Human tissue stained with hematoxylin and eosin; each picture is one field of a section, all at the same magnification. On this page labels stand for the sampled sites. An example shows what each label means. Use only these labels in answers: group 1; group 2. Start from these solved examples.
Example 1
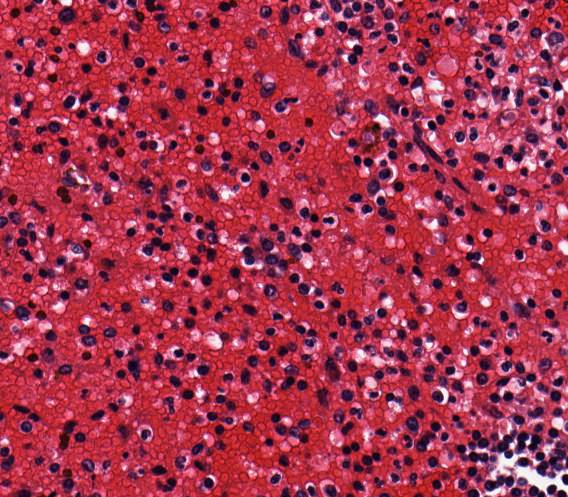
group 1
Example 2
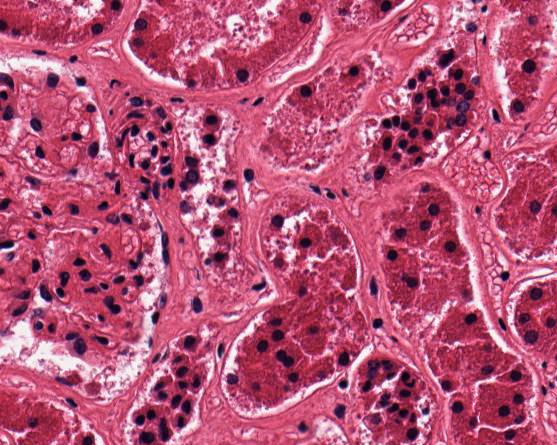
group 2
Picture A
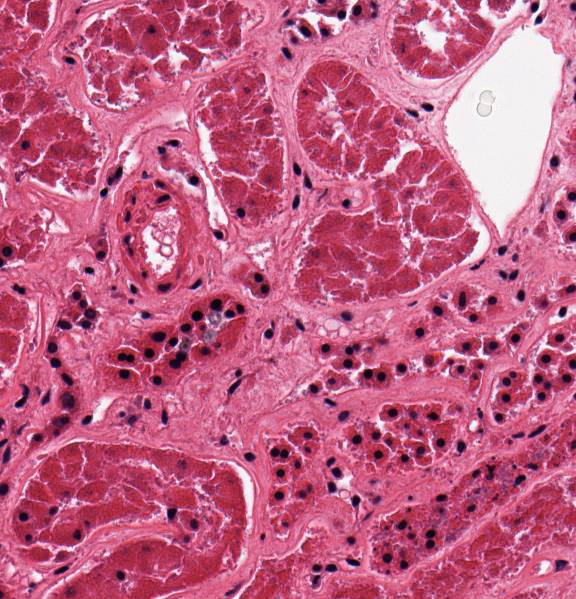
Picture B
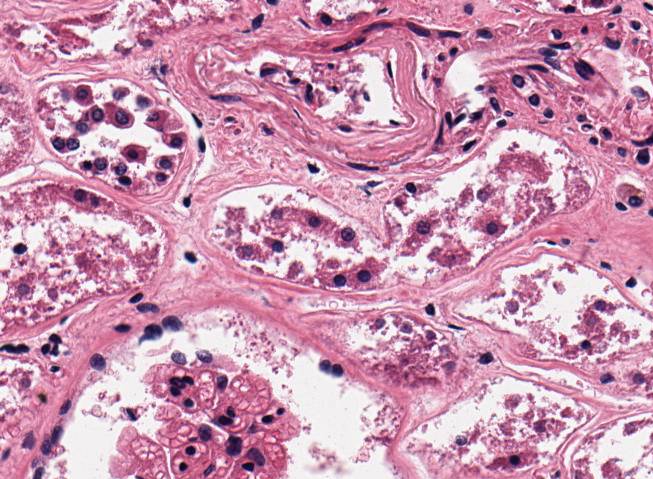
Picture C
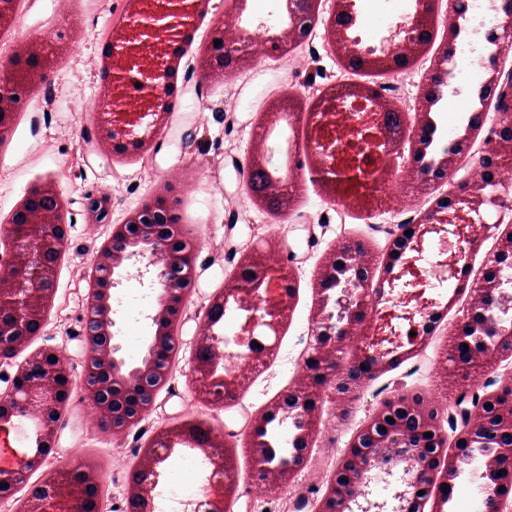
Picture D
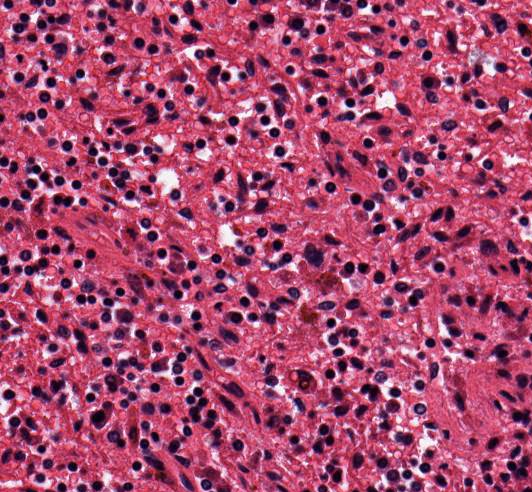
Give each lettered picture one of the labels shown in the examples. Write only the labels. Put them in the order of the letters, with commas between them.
group 2, group 2, group 2, group 1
